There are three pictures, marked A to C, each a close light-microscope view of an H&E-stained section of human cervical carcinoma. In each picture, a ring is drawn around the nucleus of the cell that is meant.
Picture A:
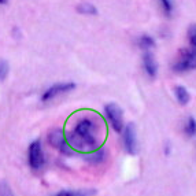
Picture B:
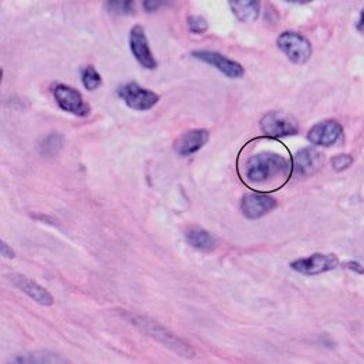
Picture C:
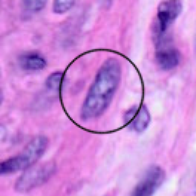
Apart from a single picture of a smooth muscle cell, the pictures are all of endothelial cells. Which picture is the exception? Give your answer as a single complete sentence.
The cell in picture C is the smooth muscle cell.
